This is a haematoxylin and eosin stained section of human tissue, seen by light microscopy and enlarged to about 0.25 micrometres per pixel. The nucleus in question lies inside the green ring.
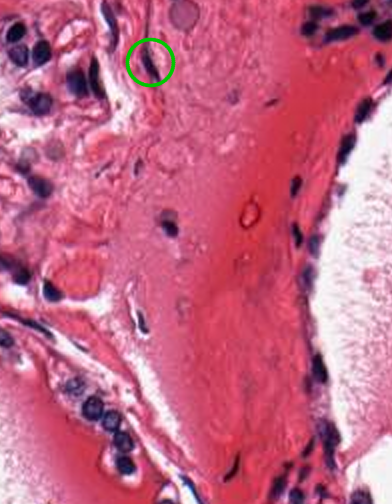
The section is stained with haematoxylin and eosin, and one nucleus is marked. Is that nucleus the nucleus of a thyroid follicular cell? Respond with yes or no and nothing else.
no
